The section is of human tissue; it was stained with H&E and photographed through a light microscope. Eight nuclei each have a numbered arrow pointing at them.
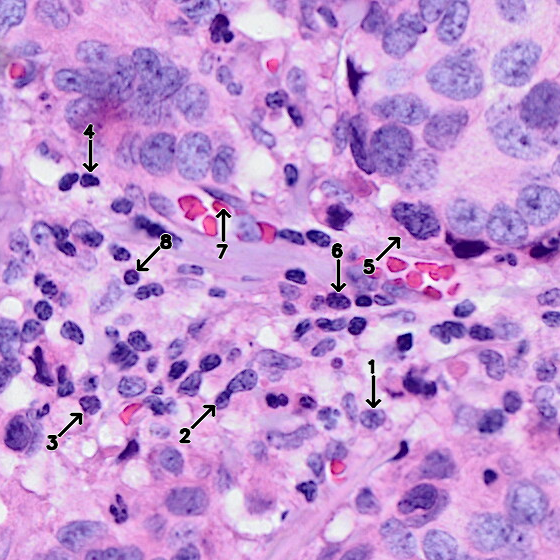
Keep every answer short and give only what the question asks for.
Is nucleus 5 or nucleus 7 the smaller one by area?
7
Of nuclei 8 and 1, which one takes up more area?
1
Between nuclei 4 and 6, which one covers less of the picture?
4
